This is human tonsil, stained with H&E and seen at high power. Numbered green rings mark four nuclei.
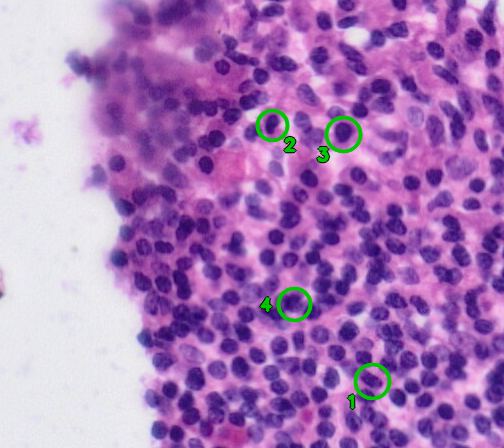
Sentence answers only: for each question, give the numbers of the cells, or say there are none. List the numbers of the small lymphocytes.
The cells marked 1 and 4 in the section are small lymphocytes.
